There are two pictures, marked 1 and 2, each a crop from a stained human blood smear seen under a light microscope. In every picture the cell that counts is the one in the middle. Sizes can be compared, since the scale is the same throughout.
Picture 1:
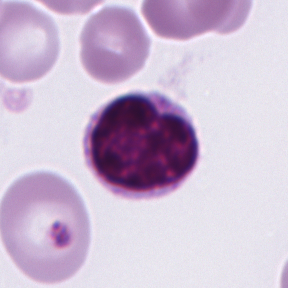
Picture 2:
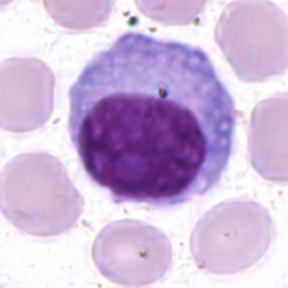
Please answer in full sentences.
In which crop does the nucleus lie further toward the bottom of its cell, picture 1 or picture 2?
The nucleus in picture 2 lies further toward the bottom of its cell.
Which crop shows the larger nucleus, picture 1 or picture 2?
The nucleus in picture 2 is larger, with about 1.5 times the area of the one in picture 1.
